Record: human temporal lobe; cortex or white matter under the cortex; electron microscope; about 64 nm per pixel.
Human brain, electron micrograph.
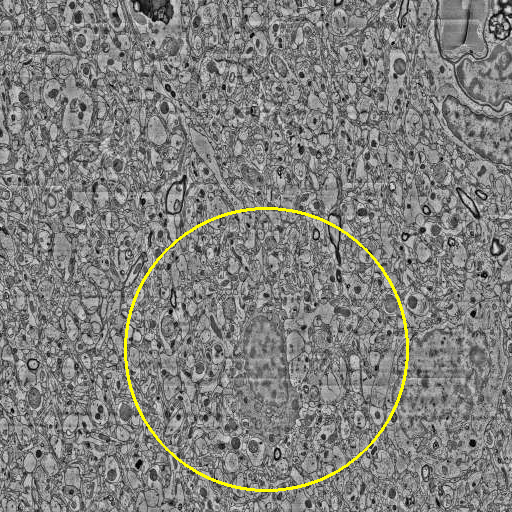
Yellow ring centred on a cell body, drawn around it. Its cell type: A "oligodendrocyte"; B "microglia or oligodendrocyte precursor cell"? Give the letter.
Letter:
A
